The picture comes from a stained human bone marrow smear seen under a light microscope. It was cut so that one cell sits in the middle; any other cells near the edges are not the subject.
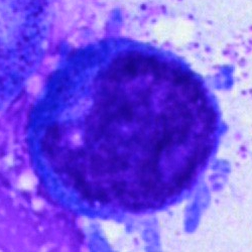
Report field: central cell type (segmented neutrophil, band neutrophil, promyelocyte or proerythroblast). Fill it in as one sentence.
As for the central cell, it is a proerythroblast.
